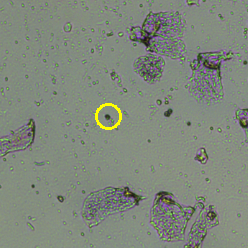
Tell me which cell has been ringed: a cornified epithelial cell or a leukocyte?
It is a leukocyte.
